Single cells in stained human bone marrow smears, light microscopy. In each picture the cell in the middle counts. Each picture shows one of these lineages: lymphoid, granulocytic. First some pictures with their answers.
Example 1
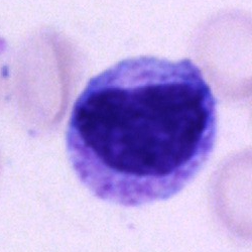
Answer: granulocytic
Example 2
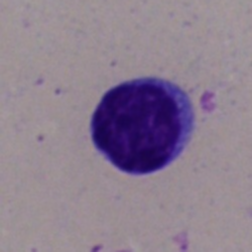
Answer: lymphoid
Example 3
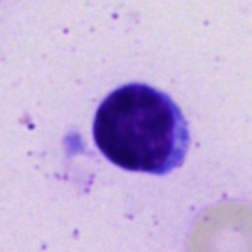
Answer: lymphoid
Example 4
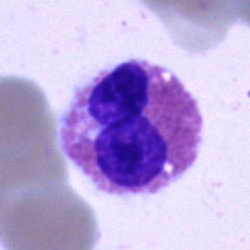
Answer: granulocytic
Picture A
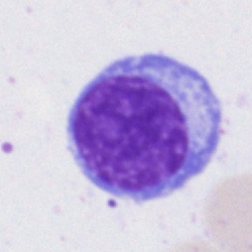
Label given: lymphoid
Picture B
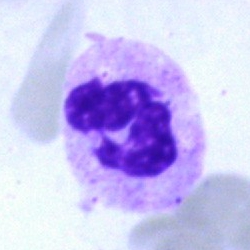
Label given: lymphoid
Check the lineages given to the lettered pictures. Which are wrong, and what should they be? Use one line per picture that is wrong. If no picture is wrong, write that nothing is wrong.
B: change lymphoid to granulocytic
